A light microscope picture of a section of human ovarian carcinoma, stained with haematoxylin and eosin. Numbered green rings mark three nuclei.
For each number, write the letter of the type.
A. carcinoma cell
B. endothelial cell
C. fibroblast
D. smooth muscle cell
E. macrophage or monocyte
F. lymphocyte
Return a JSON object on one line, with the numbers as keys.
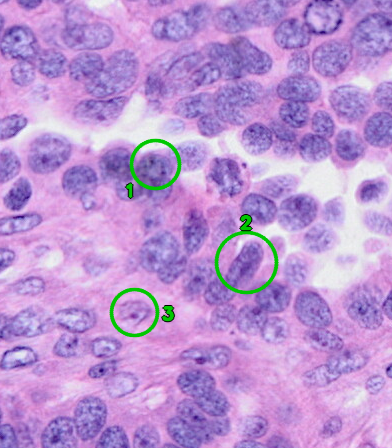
{"1": "A", "2": "A", "3": "C"}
